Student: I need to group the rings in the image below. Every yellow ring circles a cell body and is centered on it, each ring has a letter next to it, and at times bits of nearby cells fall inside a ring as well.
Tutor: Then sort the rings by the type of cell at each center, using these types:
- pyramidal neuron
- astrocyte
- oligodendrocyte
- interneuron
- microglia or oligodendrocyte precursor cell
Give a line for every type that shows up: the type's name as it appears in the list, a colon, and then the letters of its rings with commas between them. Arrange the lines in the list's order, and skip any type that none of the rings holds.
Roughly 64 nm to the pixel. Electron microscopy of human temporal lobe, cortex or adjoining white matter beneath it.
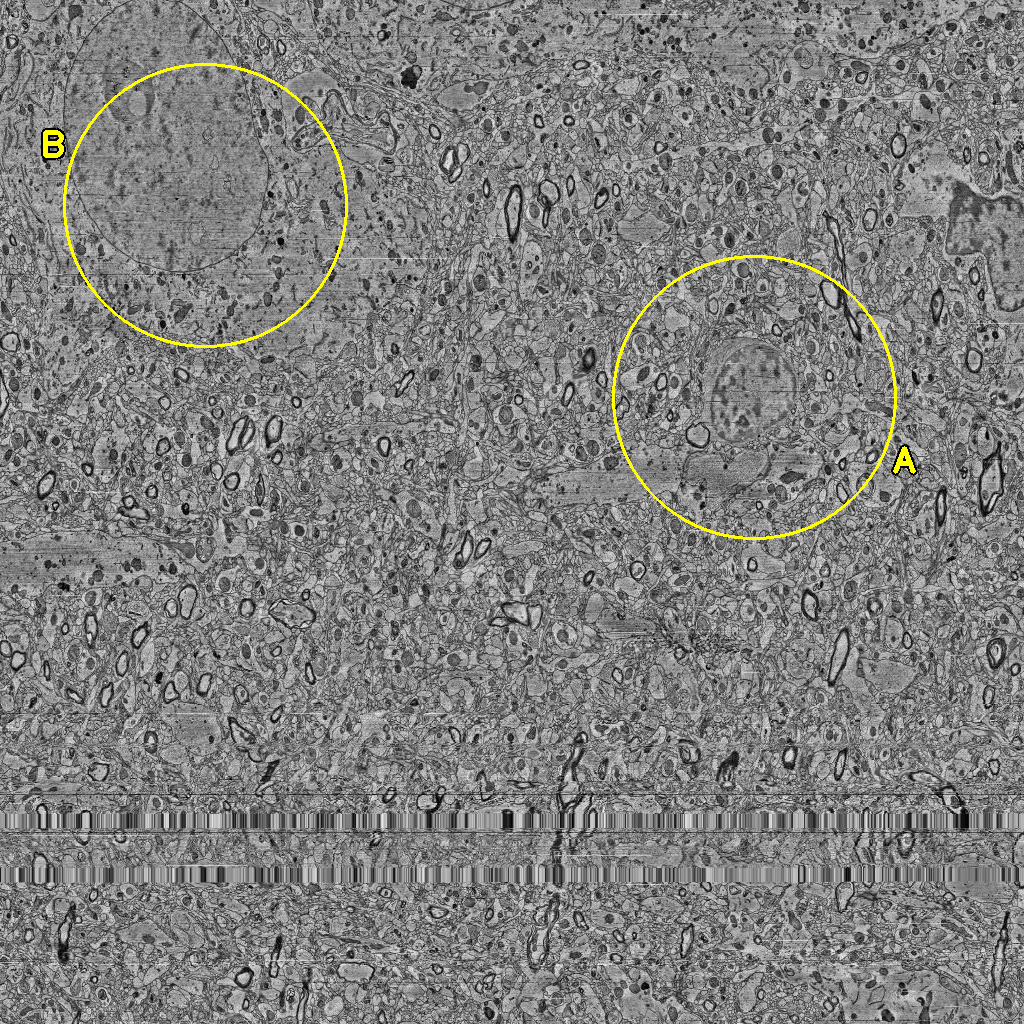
pyramidal neuron: B
oligodendrocyte: A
